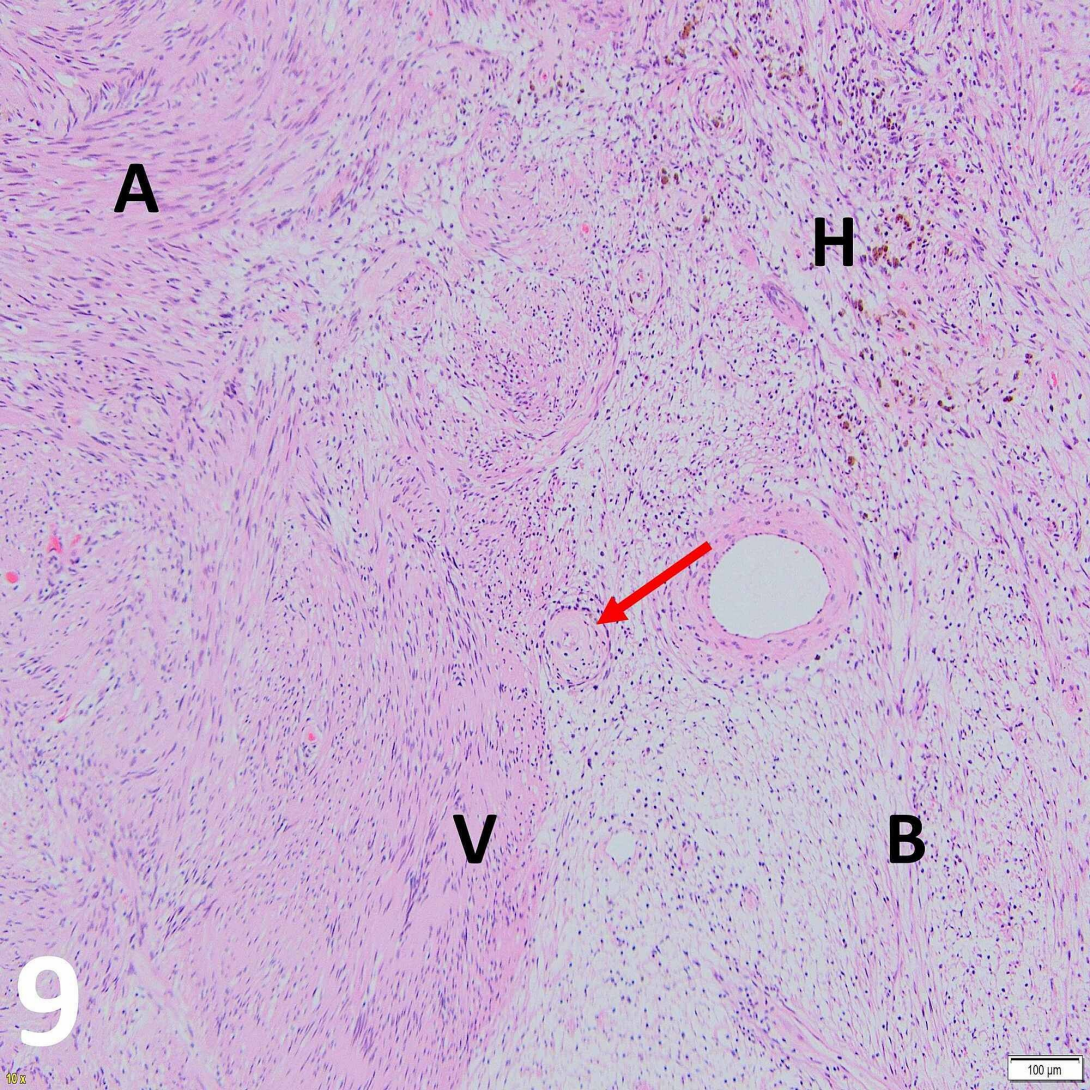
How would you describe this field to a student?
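Schwannoma with dense areas of interlacing spindle cells with elongated nuclei in fascicles alongside pale, loosely textured, sparsely cellular areas with small clear spaces. In the dense areas, a band of pink fibrillar material is bordered by spindle nuclei. Blood vessels in the loose areas have thick, homogeneous pink walls, and golden-brown granular pigment is scattered in the loose stroma.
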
